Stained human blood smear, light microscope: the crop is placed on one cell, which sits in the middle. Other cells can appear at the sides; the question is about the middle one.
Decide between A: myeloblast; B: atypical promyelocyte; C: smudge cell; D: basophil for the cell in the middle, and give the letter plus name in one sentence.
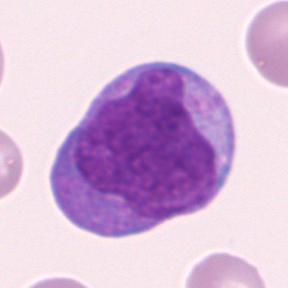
The middle of the crop contains an atypical promyelocyte, so option B is right.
